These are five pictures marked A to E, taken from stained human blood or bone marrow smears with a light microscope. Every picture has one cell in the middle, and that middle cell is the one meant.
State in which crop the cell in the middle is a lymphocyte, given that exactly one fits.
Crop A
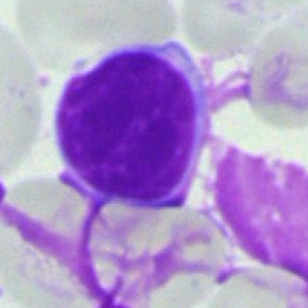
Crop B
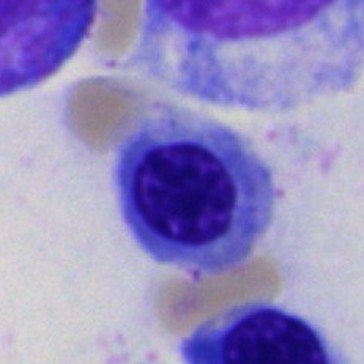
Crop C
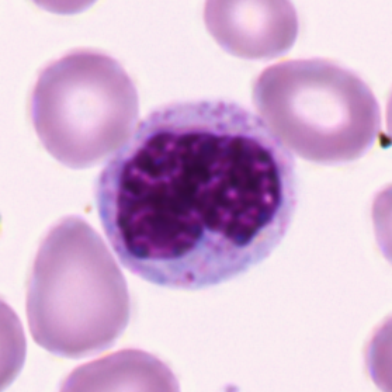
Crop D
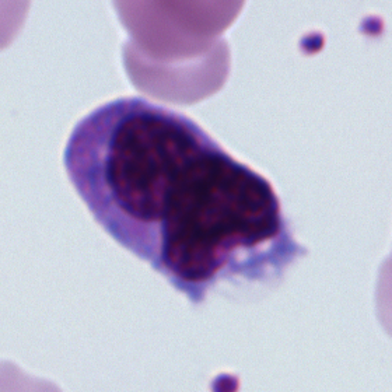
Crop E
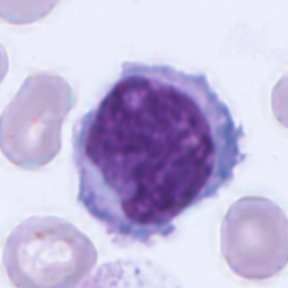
A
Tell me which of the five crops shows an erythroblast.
B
